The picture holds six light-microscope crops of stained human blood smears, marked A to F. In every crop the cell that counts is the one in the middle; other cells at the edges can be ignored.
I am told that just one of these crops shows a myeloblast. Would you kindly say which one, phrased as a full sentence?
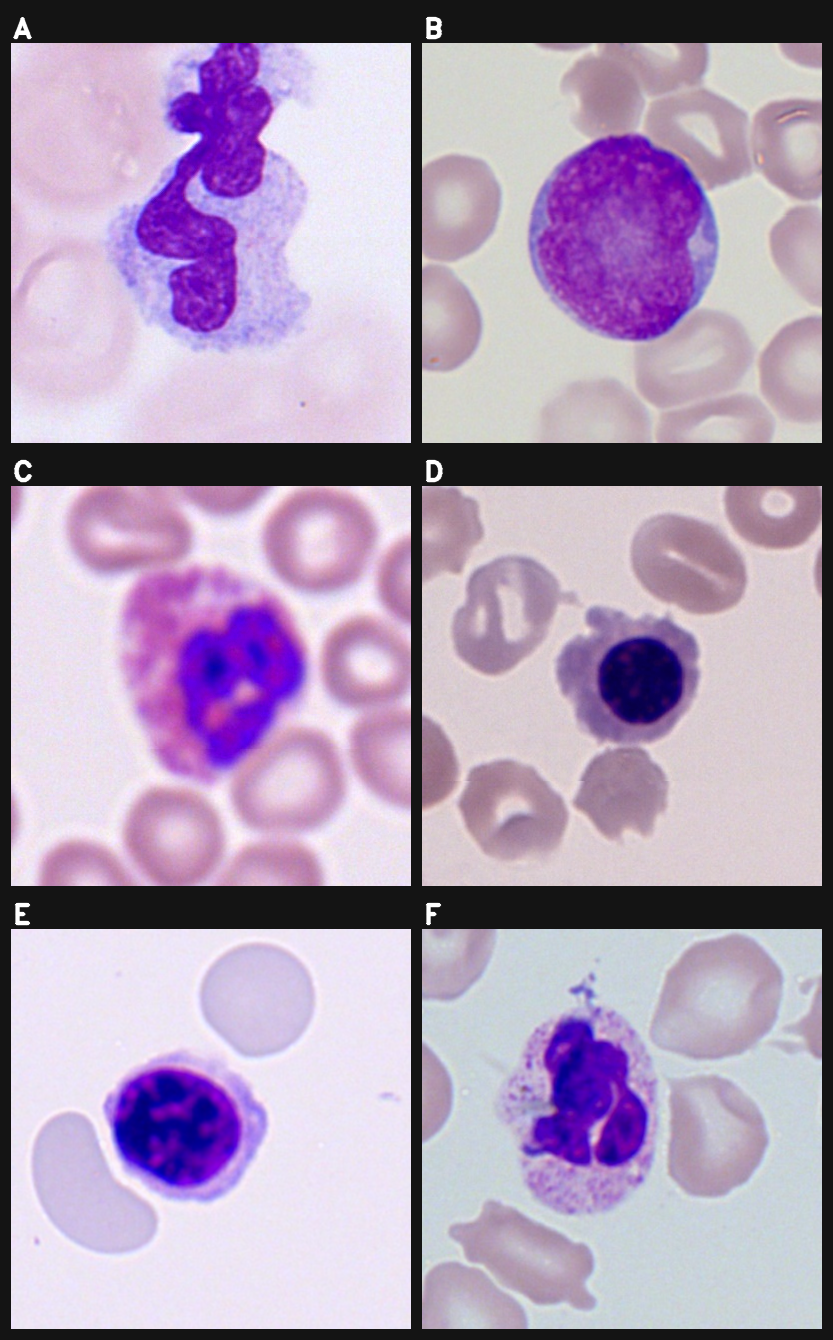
It is the cell in crop B that is a myeloblast.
